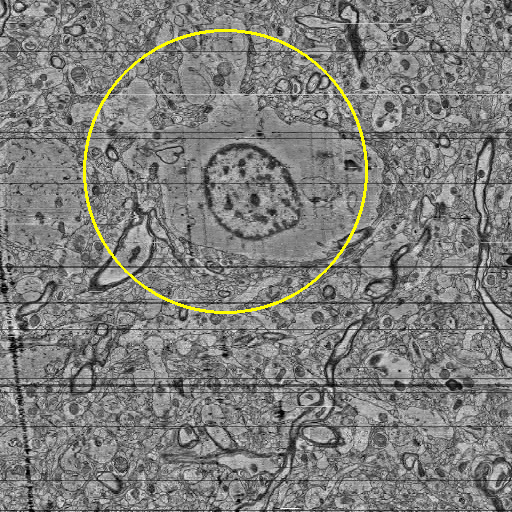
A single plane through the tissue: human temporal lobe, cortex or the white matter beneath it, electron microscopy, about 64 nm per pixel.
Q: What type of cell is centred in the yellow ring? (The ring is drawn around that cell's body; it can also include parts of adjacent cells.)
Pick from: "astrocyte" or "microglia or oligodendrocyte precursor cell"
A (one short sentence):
The yellow ring is centred on an astrocyte.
